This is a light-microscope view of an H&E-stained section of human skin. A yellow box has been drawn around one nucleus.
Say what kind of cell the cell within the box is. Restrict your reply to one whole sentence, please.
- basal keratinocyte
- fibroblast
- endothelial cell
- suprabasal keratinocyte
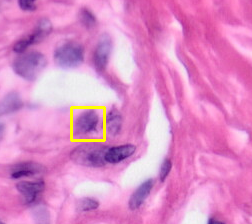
Histopathologically, the cell within the box is an endothelial cell.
